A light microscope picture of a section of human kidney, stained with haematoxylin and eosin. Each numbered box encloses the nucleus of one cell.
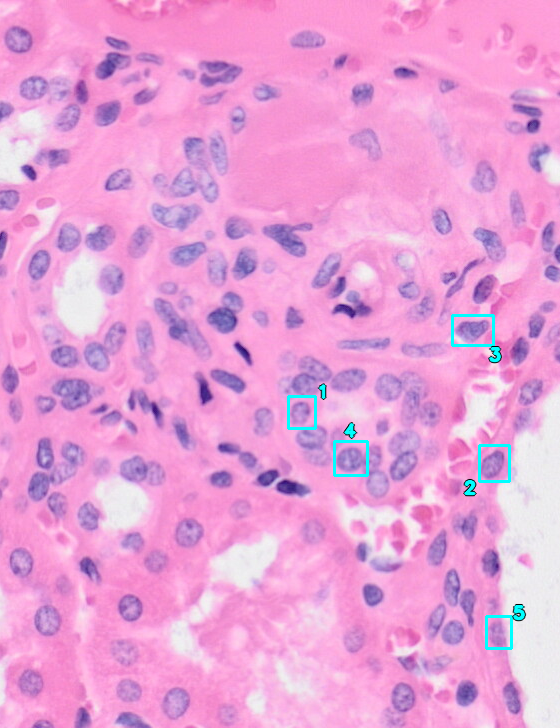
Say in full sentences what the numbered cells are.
Cell 1 is a collecting duct cell, cell 2 is a loop of Henle or distal tubule cell, cell 3 is an endothelial cell, cell 4 is a collecting duct cell and cell 5 is a loop of Henle or distal tubule cell.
